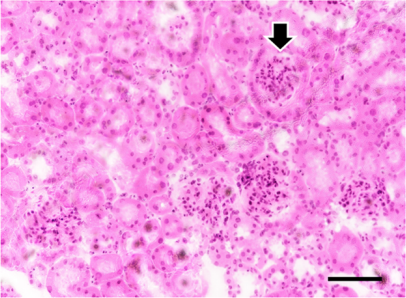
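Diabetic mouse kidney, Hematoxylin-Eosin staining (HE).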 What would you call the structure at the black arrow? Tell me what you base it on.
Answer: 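The arrow points at a round tuft of nuclei within a clear space, ringed by a thin capsule. On this evidence: glomeruli.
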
